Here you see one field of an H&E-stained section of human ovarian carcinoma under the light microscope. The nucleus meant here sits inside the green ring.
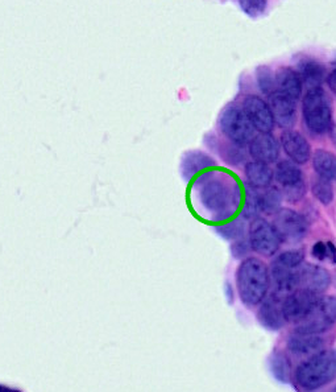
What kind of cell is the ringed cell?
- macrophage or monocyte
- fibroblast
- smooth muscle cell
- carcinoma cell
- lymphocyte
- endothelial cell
carcinoma cell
